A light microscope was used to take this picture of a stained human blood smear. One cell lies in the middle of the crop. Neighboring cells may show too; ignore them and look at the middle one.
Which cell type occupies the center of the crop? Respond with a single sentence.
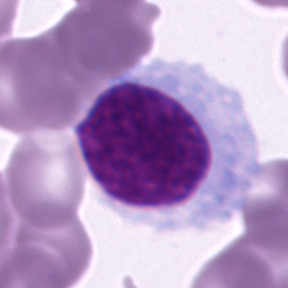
To answer, the cell in the center of the crop is a hairy cell.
